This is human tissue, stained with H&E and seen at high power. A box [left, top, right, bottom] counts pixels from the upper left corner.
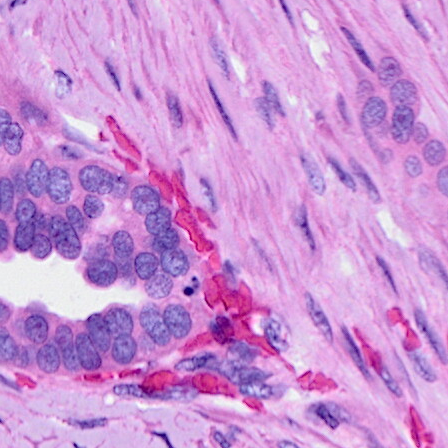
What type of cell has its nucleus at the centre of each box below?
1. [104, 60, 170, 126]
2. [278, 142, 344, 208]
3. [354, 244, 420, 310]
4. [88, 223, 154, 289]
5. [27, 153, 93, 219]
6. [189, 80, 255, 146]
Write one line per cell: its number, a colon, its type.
1: fibroblast
2: fibroblast
3: fibroblast
4: carcinoma cell
5: carcinoma cell
6: fibroblast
